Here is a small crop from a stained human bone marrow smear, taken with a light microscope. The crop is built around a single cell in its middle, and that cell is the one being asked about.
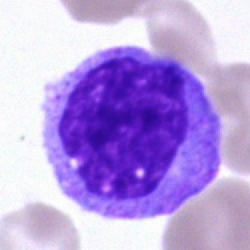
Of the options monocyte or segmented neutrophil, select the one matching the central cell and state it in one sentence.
Occupying the centre of the crop is a monocyte.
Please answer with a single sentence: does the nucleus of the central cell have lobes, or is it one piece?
Have a look at the nucleus, which is one compact mass, round, oval or kidney-shaped.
